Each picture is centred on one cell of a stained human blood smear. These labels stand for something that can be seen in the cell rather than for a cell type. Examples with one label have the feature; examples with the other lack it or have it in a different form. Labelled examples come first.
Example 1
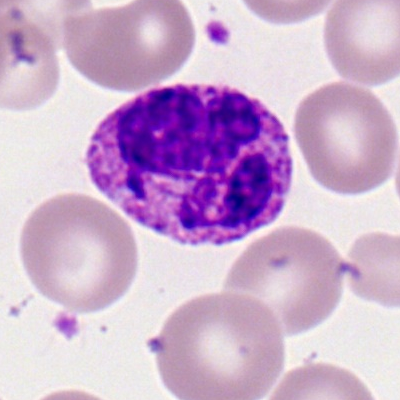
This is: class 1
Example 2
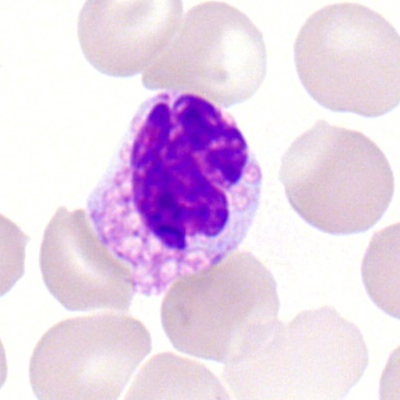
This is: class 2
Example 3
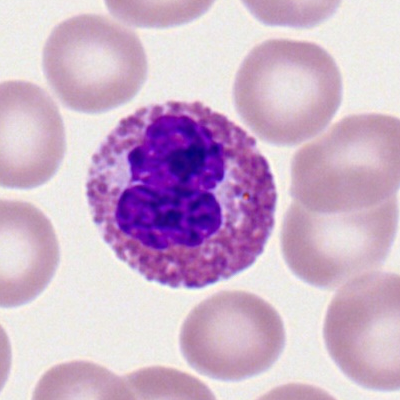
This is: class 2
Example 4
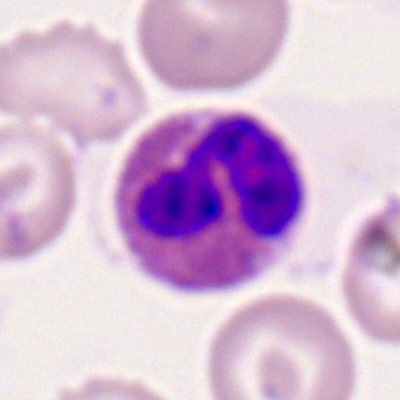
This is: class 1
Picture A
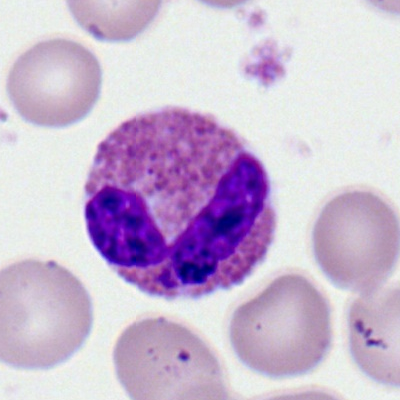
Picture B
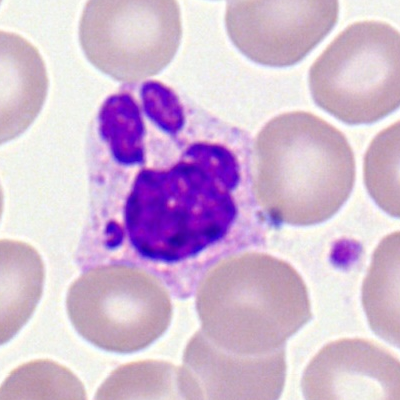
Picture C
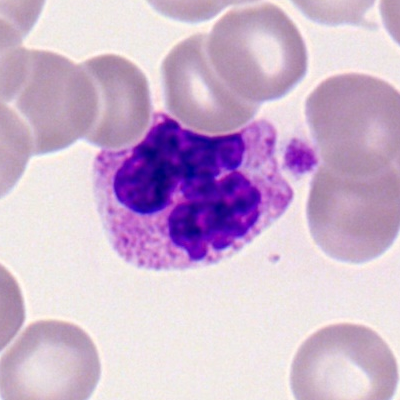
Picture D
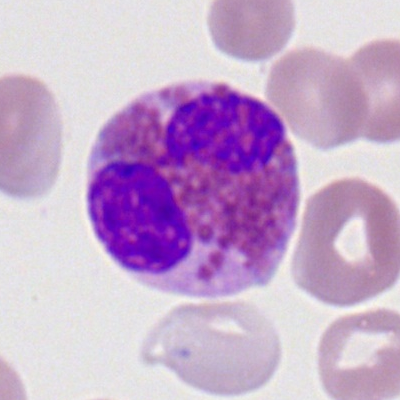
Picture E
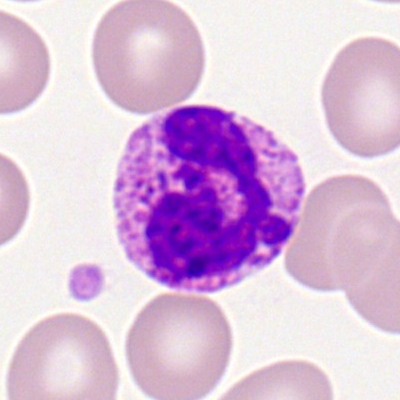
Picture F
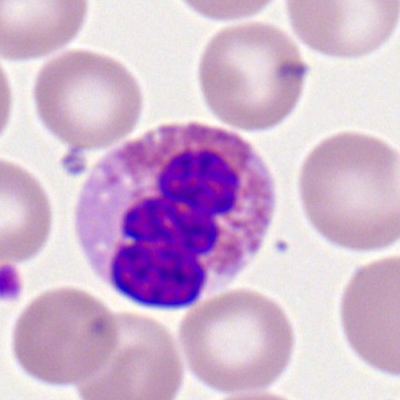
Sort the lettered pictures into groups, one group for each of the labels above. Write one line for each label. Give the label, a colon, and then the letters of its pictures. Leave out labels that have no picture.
class 1: B, C, E, F
class 2: A, D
